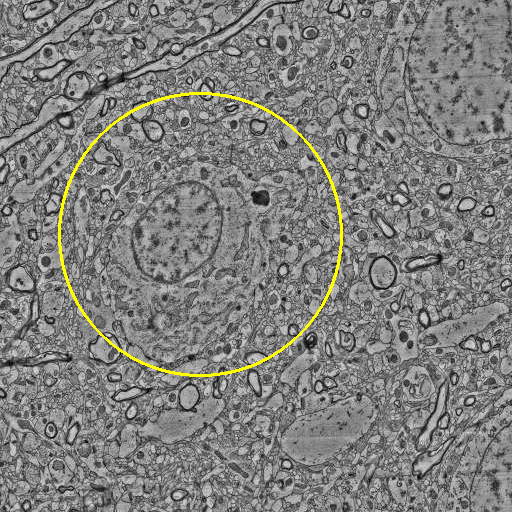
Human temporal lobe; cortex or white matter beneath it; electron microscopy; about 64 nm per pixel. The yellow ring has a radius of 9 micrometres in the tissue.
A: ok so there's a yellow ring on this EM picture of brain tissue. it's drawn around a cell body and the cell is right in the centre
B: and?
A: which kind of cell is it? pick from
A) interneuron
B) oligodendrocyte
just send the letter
A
